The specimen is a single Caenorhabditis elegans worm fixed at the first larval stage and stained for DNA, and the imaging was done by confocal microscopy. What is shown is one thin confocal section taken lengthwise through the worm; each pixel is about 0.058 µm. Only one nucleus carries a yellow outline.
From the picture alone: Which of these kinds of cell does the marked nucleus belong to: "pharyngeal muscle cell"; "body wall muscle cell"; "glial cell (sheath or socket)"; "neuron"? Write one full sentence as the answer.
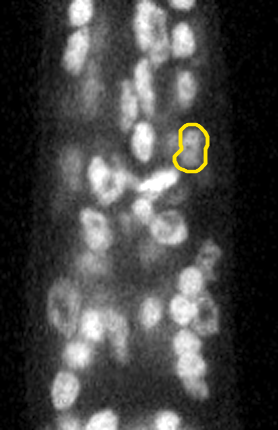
It belongs to a body wall muscle cell.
